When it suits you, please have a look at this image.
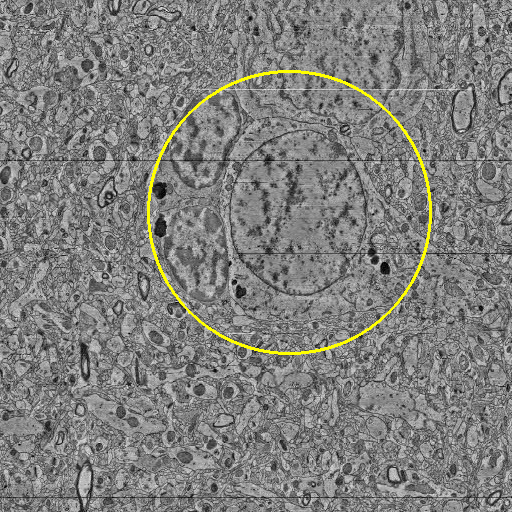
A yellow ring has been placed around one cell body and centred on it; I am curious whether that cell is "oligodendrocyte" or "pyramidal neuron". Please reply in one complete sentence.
The ringed cell, a pyramidal neuron, has its body at the centre of the yellow ring.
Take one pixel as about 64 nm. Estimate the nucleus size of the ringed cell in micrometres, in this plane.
In this plane the nucleus measures roughly 11 by 9 micrometres.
